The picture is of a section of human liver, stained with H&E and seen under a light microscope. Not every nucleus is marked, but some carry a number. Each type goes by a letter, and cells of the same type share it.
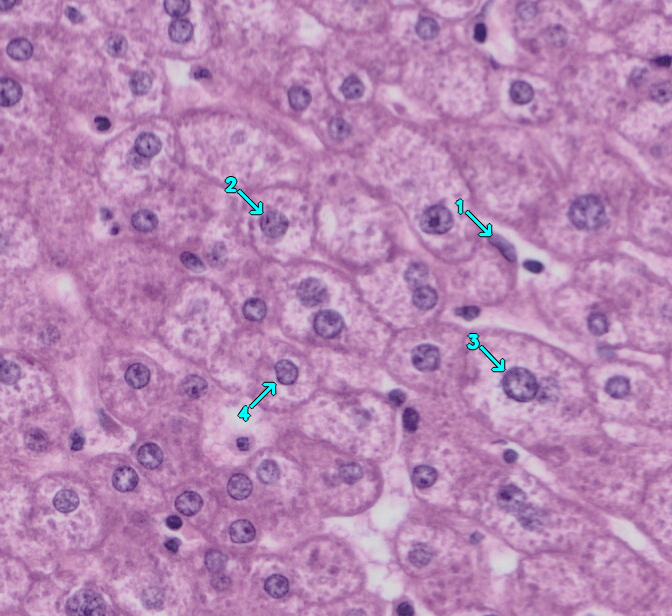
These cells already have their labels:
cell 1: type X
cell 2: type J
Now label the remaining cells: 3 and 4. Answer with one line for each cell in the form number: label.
3: type J
4: type J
